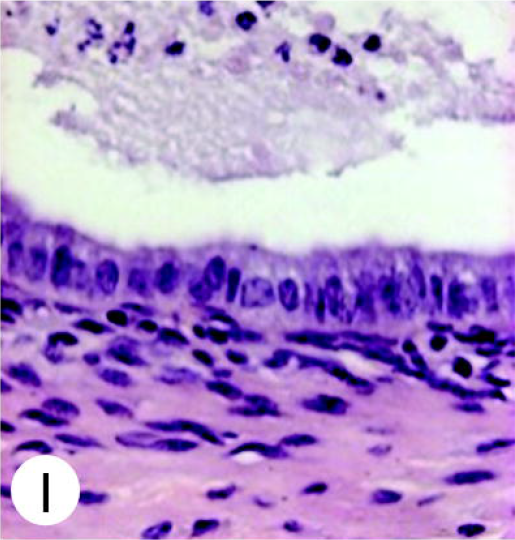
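This section shows a lining of simple columnar epithelium facing an open lumen. The epithelial cells form a single row of tall cells whose oval, elongated nuclei are stained dark purple and lie side by side at roughly the same level. Their cytoplasm is pale pink-violet, and the free surface faces a lumen containing pale, loosely textured material with scattered dark nuclei. Beneath the epithelium lies a connective tissue stroma with spindle-shaped, flattened nuclei set in pink matrix.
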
